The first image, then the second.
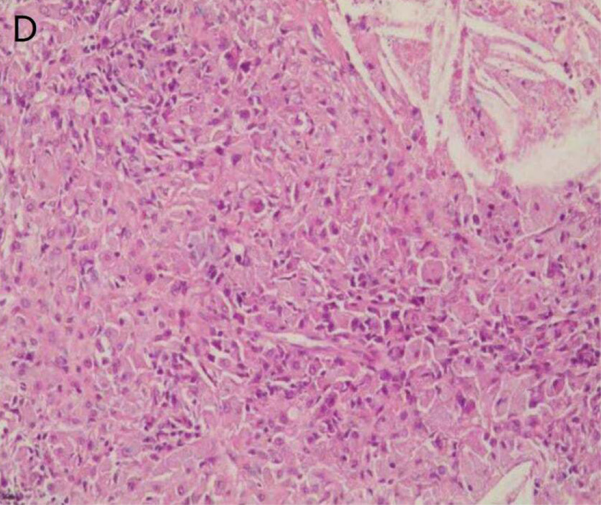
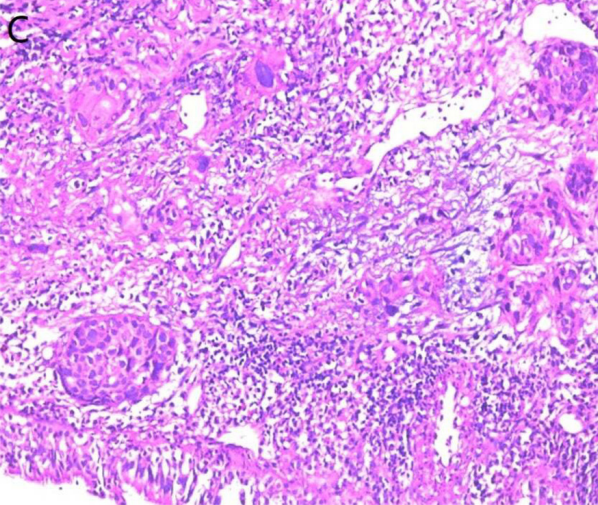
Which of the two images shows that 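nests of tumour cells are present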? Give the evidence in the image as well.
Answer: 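The second image. First image: sheets of cells with pink cytoplasm and empty clefts, without rounded cell nests. Second image: several rounded nests of polygonal cells with pink cytoplasm in an inflamed stroma.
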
